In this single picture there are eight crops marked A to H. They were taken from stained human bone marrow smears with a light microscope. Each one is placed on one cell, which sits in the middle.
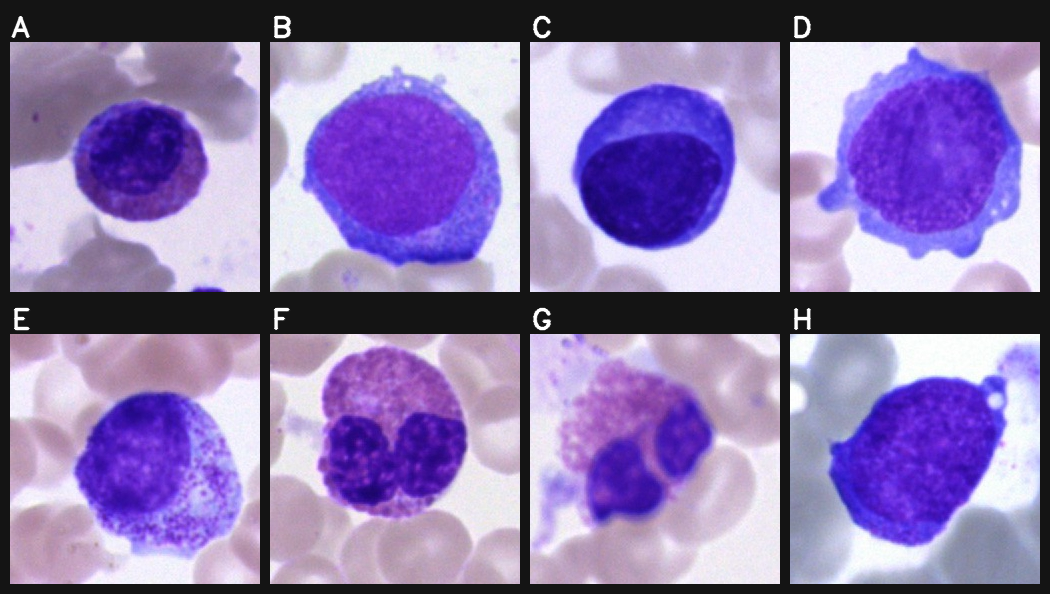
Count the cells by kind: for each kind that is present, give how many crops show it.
eosinophil: 3
blast: 3
plasma cell: 1
myelocyte: 1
